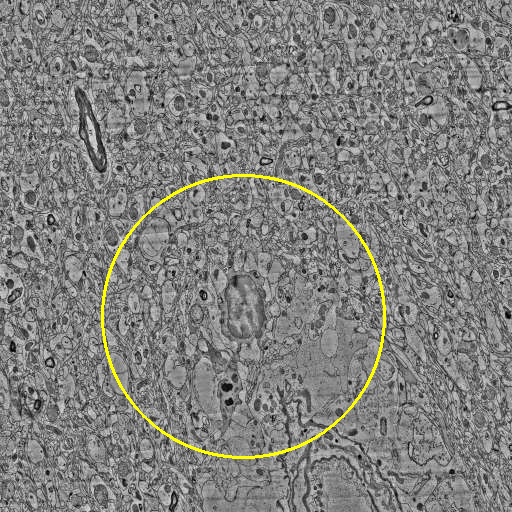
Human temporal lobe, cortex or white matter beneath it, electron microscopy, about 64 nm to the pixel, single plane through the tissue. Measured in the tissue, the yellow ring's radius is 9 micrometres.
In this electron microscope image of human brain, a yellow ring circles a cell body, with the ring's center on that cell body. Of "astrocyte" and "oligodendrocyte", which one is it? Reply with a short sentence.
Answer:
It is an oligodendrocyte at the center of the ring.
